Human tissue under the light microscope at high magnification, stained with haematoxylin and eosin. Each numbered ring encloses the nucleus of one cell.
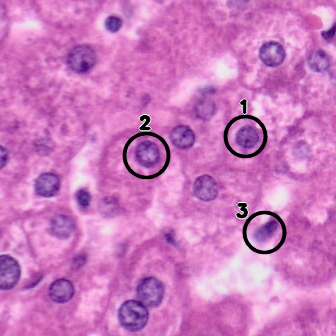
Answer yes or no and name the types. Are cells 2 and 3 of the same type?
No, unlike cell 2, which is a hepatocyte, cell 3 is a Kupffer cell.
